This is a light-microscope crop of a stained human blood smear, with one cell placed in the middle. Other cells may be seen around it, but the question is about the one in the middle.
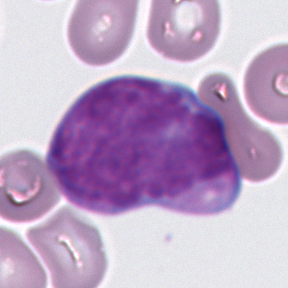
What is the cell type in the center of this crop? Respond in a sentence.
The cell nearest the centre of this crop is an atypical promyelocyte.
